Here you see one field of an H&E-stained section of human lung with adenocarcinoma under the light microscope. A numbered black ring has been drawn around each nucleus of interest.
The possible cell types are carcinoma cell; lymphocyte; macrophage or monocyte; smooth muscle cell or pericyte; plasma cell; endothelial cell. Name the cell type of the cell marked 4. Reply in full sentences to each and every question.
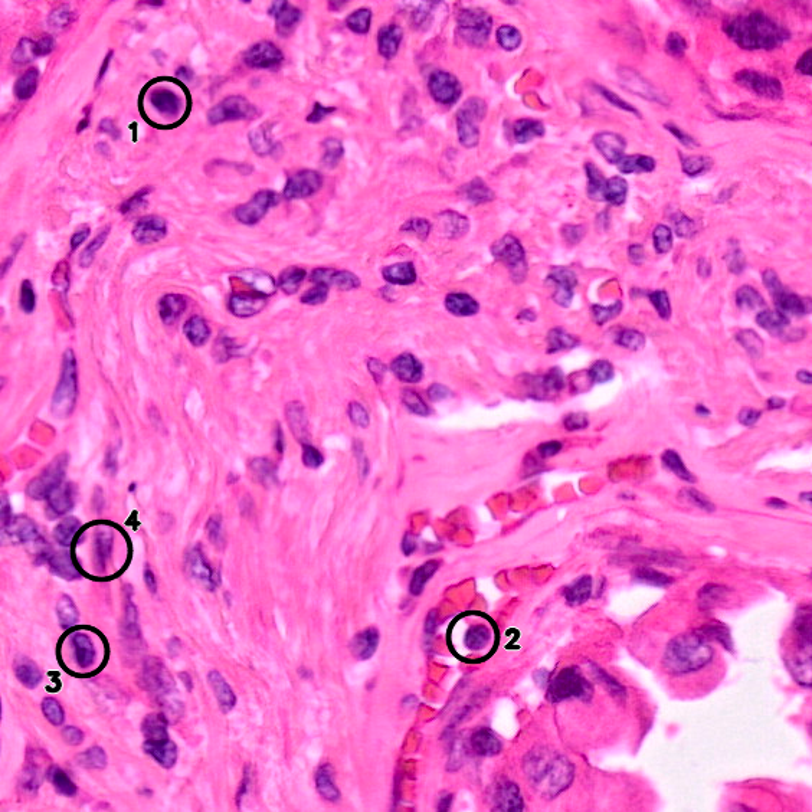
The cell indicated with the number 4 is classed as a plasma cell.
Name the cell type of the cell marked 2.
To a lymphocyte belongs the nucleus marked 2.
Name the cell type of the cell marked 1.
The cell tagged with 1 in this tissue section is a plasma cell.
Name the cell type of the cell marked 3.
Cell 3 of the marked set is a lymphocyte.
